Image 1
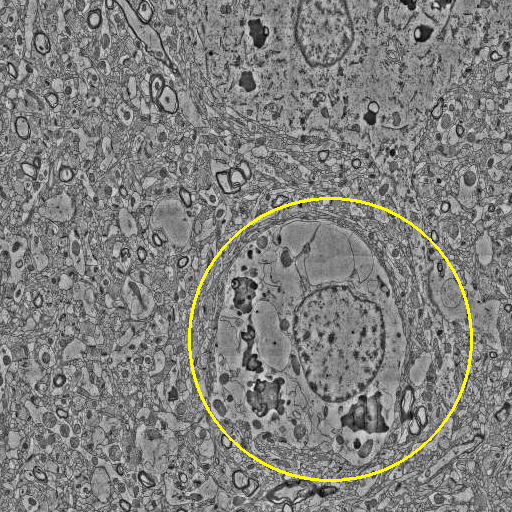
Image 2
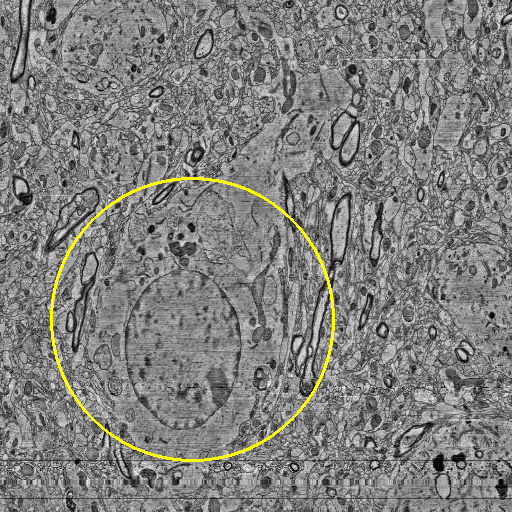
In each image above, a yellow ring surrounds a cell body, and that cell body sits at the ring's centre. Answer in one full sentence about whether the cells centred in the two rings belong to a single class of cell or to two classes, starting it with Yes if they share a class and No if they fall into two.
Yes, the cells centred in the two yellow rings belong to a single class of cell.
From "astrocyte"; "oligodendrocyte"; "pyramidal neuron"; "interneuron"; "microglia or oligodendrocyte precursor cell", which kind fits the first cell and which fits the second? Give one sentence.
In each of the two pictures, the ringed cell is an astrocyte.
